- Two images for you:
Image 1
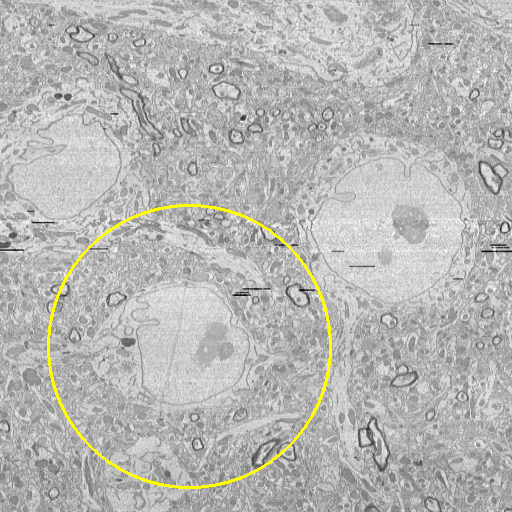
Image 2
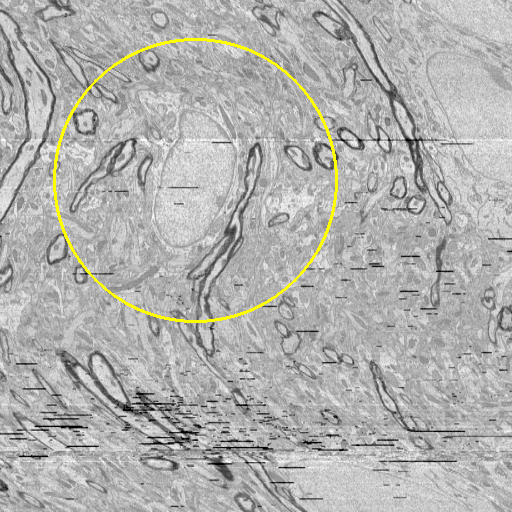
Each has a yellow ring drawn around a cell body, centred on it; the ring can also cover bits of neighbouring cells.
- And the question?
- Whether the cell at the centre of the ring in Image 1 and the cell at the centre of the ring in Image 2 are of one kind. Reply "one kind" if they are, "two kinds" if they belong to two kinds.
two kinds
